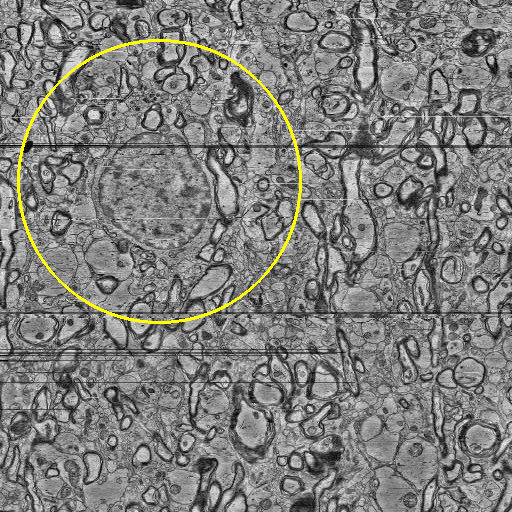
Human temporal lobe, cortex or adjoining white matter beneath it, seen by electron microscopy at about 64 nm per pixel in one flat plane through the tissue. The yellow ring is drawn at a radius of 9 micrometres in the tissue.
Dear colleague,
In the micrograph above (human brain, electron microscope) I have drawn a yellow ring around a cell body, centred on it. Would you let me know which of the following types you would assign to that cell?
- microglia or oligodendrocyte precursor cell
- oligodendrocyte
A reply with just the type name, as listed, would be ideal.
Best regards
oligodendrocyte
